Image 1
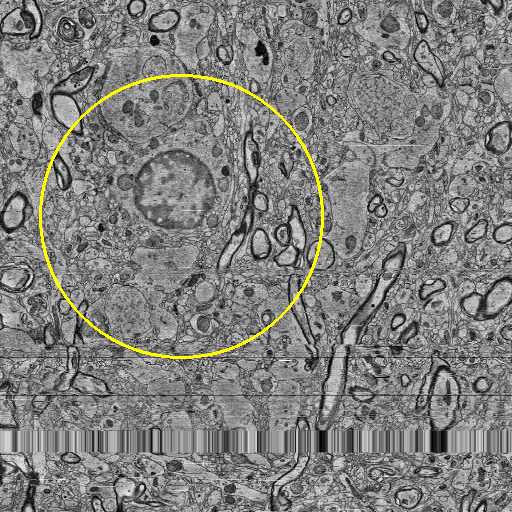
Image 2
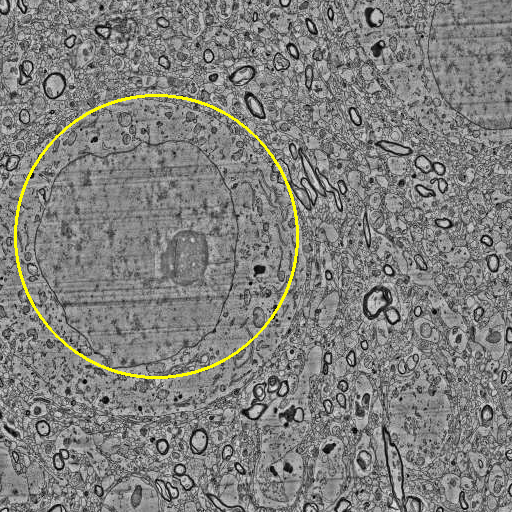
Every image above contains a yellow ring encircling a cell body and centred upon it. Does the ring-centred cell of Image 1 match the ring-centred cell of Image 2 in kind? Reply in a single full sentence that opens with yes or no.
No, the cell at the ring's centre in Image 1 is a separate kind from that in Image 2.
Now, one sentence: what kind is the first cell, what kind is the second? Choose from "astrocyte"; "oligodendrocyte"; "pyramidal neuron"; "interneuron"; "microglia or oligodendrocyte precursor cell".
The first picture has an oligodendrocyte at its ring centre, and the second has a pyramidal neuron.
